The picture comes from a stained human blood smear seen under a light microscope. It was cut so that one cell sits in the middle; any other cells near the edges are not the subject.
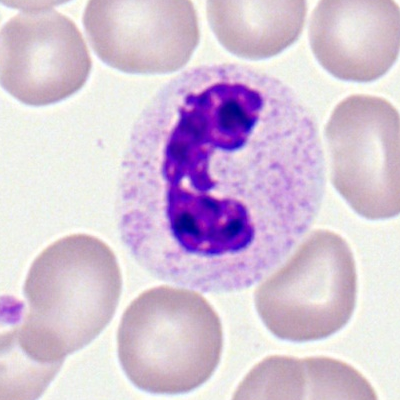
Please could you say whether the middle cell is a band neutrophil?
yes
